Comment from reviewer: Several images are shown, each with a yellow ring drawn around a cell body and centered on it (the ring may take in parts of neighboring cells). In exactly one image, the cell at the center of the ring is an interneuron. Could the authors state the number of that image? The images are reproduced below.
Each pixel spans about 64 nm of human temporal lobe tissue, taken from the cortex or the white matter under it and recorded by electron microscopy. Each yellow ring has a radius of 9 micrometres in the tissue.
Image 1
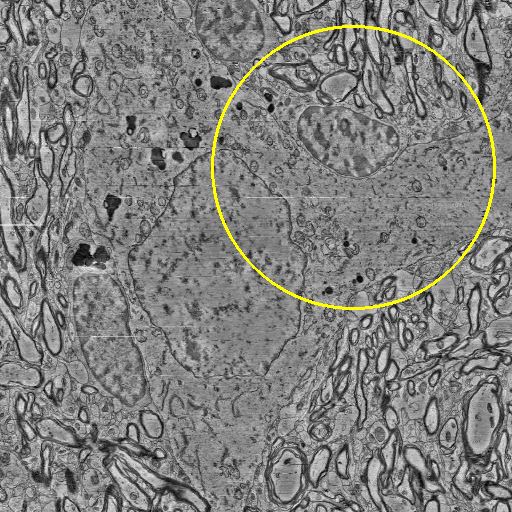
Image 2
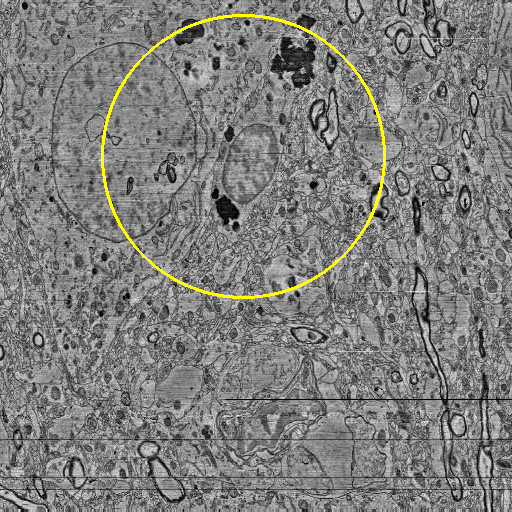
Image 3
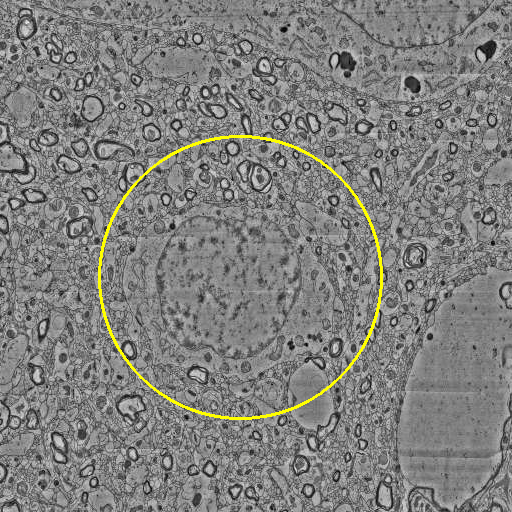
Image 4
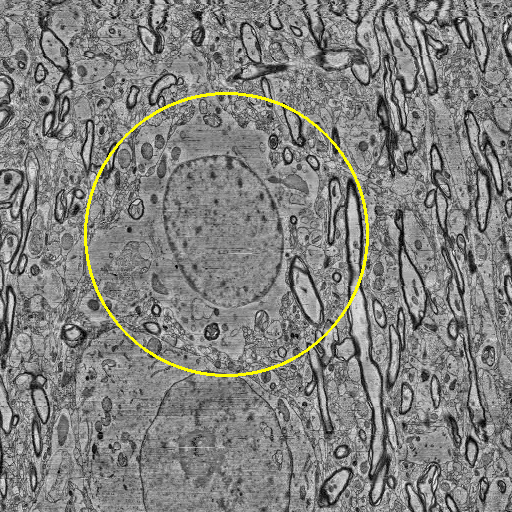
3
